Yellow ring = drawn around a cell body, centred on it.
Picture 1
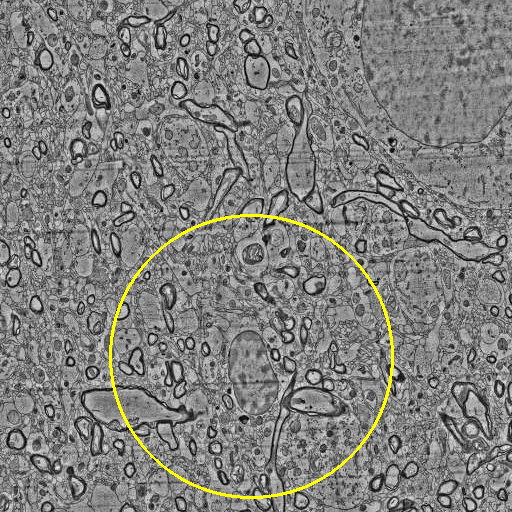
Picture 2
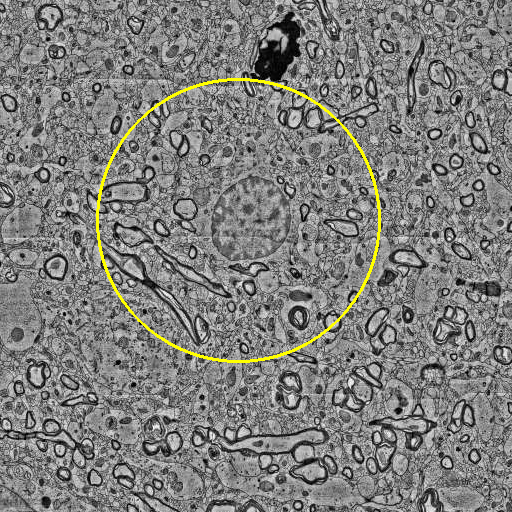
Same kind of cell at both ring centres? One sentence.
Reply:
No, they are two kinds of cell.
